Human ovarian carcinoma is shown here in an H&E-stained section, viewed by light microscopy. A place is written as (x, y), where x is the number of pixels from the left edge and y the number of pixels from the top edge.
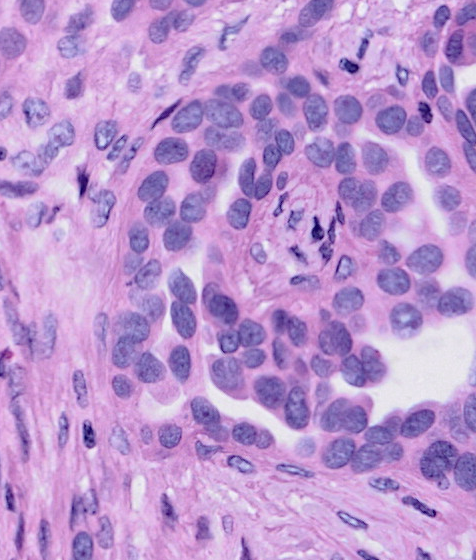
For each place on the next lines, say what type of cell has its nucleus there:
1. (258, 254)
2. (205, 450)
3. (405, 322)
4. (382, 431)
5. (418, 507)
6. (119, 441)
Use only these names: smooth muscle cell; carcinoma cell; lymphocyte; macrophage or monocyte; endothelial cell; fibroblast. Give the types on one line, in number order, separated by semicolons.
fibroblast; fibroblast; carcinoma cell; carcinoma cell; fibroblast; fibroblast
